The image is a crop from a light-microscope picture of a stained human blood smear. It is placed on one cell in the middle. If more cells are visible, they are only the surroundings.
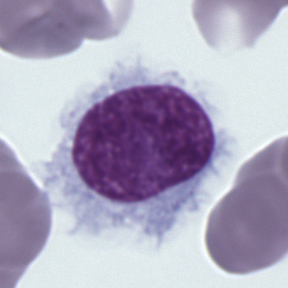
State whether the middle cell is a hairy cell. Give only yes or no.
yes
